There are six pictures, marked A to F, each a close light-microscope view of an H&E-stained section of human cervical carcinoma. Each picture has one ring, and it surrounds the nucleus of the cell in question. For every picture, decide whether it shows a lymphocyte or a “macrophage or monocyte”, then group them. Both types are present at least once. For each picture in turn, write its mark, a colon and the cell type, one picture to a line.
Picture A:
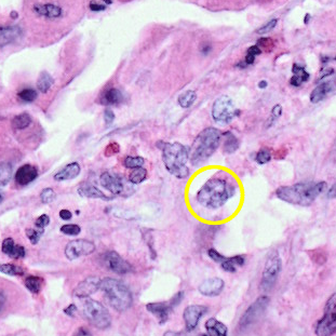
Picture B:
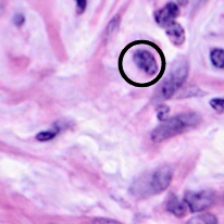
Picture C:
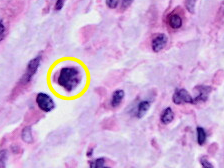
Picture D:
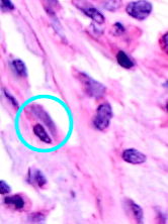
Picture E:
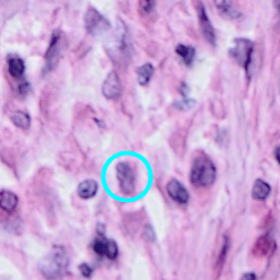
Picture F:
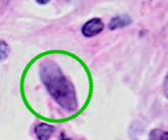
A: macrophage or monocyte
B: lymphocyte
C: lymphocyte
D: macrophage or monocyte
E: macrophage or monocyte
F: macrophage or monocyte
